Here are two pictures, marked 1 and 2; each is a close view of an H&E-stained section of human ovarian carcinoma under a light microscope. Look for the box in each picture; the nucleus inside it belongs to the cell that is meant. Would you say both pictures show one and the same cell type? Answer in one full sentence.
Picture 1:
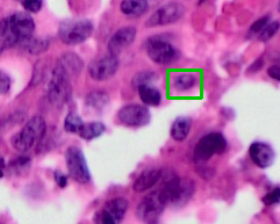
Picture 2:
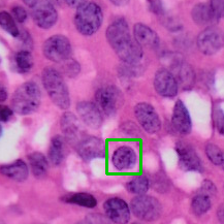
Yes; the cells in both pictures are “macrophages or monocytes”.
